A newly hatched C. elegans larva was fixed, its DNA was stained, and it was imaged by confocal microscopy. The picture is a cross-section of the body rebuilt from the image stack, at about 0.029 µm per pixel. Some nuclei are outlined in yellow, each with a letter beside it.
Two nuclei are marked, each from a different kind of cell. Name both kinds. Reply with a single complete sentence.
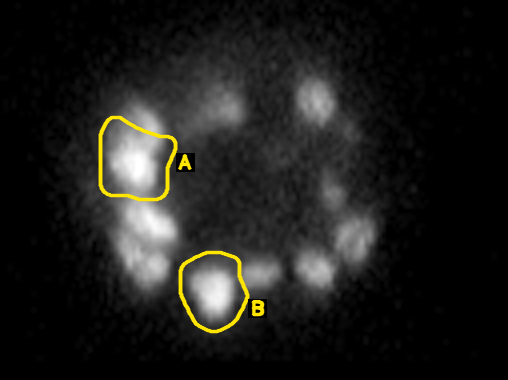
A is in a GLR cell and B is in a neuron.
